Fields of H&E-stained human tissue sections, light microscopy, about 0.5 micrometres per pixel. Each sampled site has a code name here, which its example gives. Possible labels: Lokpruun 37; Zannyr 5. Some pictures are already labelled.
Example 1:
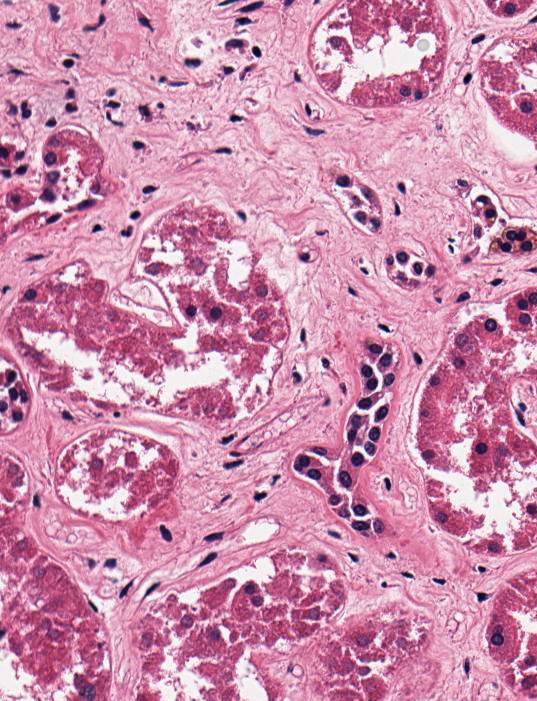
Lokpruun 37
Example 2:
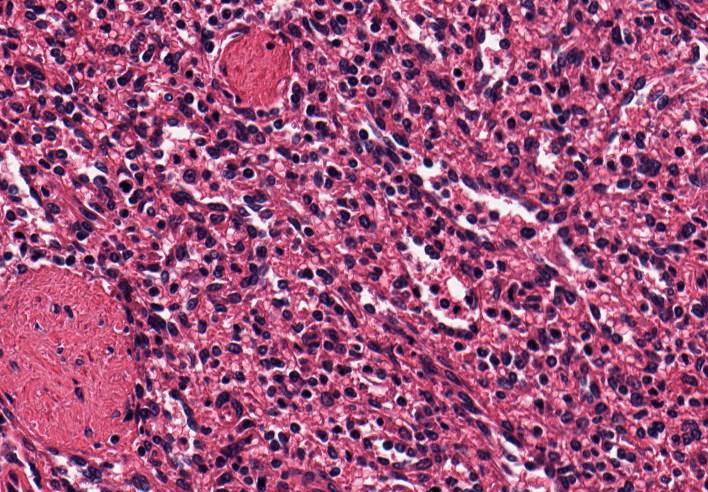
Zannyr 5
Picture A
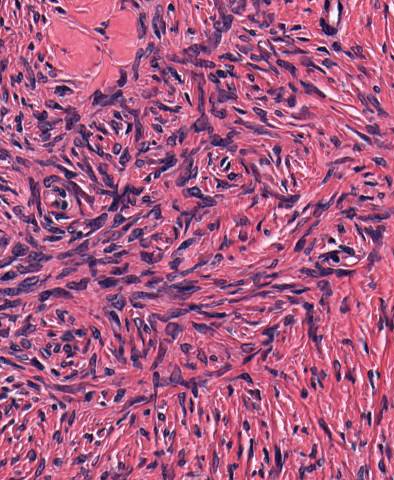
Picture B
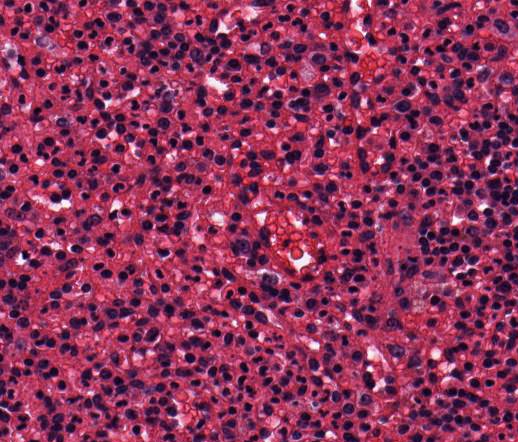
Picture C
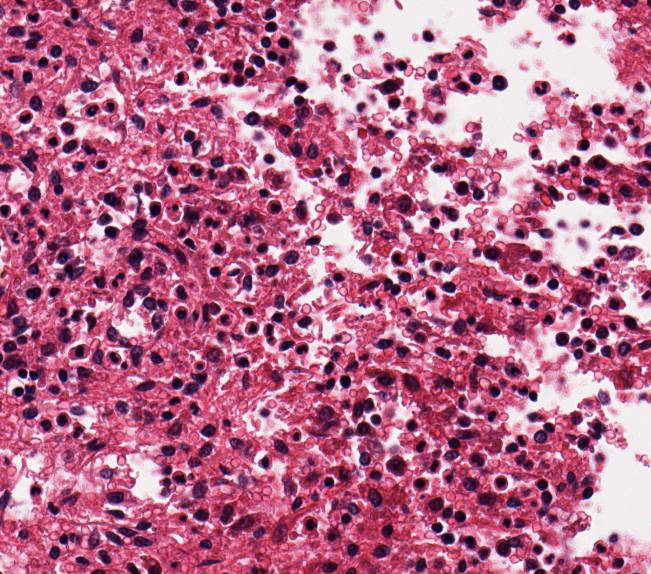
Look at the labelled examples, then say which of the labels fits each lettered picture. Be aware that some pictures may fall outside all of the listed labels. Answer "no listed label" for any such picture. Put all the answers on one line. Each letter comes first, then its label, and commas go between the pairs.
A no listed label, B Zannyr 5, C Zannyr 5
